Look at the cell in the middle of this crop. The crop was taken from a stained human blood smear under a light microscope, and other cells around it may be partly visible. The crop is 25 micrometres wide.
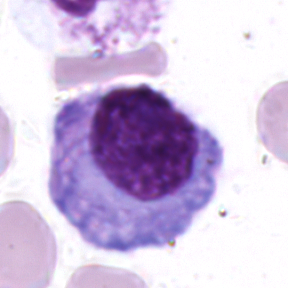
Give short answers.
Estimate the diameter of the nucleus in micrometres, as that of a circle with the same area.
9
